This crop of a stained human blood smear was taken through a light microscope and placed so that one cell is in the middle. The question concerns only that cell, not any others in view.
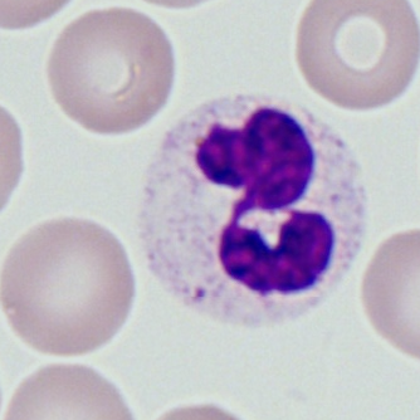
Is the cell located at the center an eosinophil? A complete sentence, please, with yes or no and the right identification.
No, this is not an eosinophil at all; the cell in the middle is a segmented neutrophil.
